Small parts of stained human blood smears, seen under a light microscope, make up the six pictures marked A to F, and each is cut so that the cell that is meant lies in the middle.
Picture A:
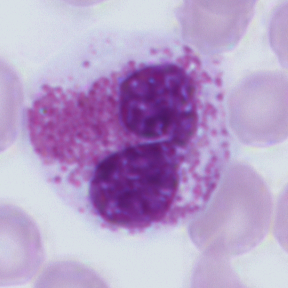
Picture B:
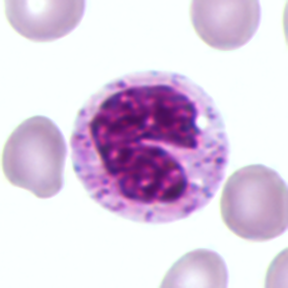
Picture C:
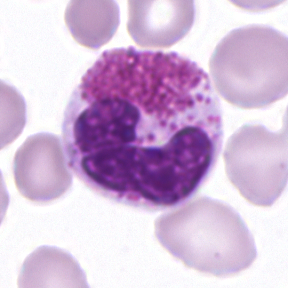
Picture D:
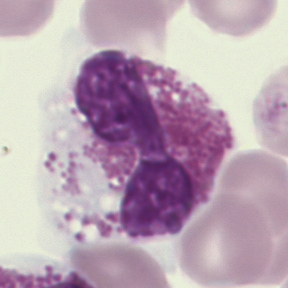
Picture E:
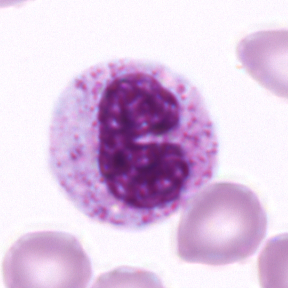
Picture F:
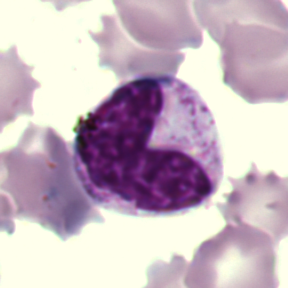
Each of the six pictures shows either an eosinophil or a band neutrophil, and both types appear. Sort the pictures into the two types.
A: eosinophil
B: band neutrophil
C: eosinophil
D: eosinophil
E: band neutrophil
F: band neutrophil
